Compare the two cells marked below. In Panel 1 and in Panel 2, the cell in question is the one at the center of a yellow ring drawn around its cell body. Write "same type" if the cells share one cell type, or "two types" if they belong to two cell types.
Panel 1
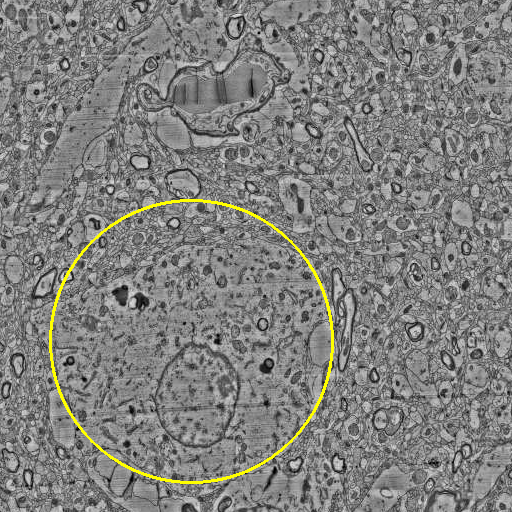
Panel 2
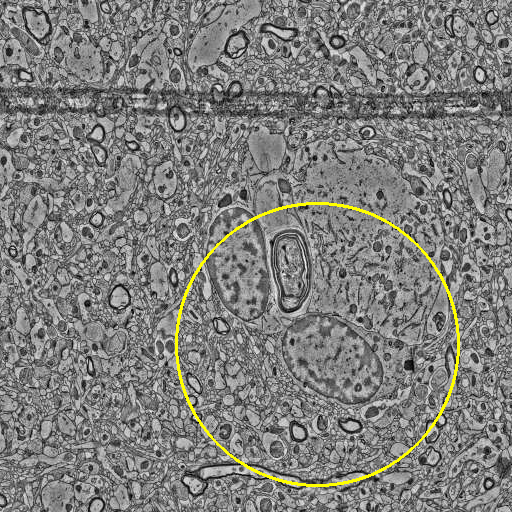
two types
